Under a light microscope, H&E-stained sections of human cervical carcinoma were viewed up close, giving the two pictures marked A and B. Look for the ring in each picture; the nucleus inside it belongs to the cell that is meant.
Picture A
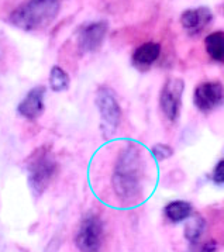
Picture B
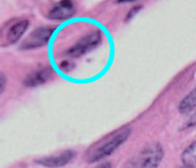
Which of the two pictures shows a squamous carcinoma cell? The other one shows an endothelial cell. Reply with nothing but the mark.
B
